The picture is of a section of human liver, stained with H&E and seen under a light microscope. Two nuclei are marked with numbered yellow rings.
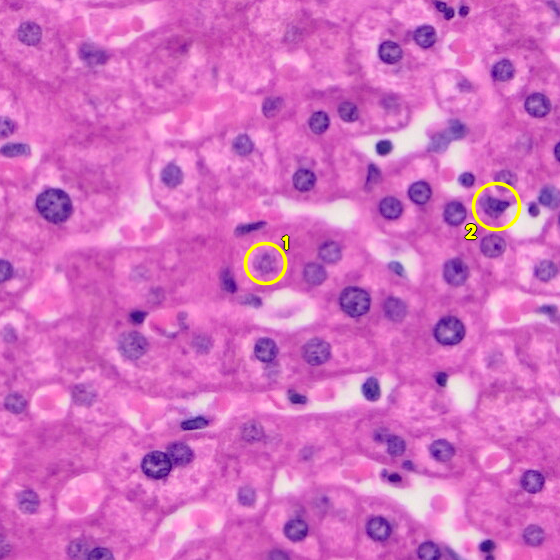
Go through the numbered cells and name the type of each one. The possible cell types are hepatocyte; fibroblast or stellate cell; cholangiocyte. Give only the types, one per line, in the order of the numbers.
hepatocyte
fibroblast or stellate cell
